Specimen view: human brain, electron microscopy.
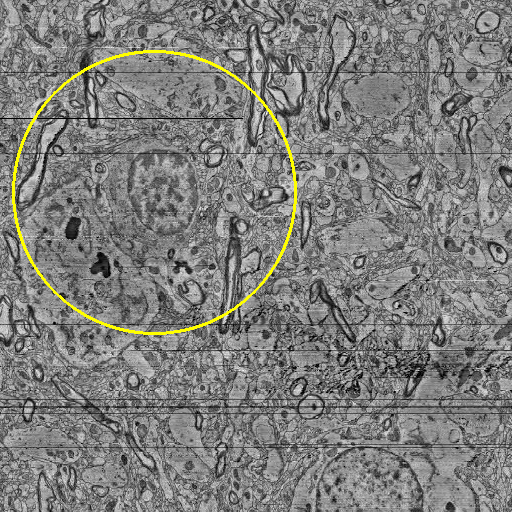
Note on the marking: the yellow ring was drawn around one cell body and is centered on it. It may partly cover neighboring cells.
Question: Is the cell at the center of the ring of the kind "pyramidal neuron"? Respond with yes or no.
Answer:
no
